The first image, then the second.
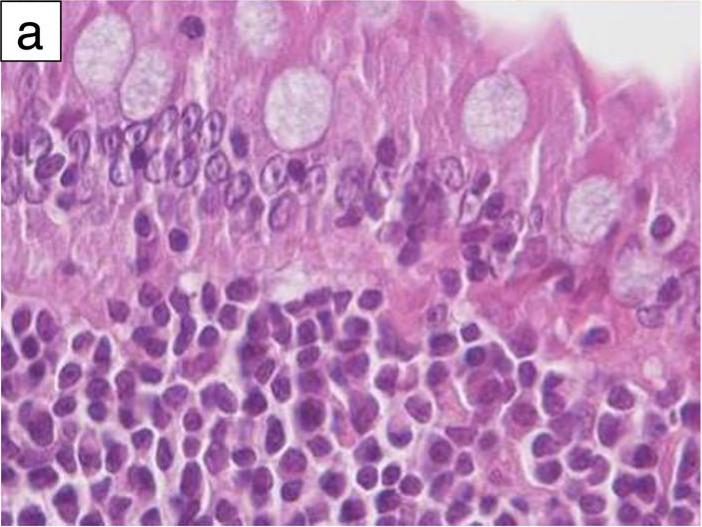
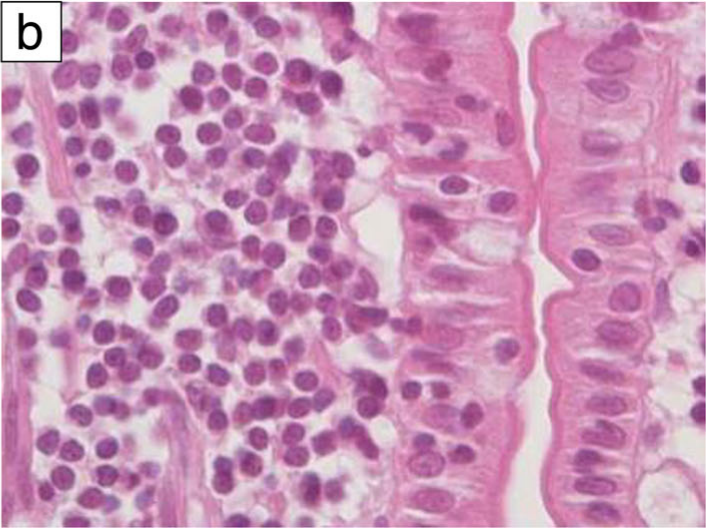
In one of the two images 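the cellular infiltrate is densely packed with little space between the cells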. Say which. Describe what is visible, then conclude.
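The first image. Second image: the round cells are separated by pale clear spaces. First image: the round cells lie crowded against one another with hardly any space between them.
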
